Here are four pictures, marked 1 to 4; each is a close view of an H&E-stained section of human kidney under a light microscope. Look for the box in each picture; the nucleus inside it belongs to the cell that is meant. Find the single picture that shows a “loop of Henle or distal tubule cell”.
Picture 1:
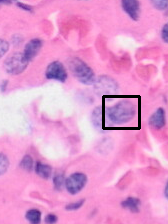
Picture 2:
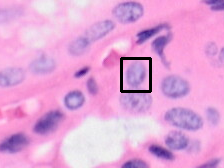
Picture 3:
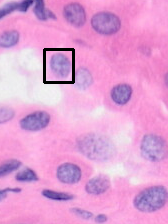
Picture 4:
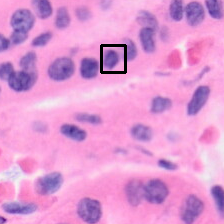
3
